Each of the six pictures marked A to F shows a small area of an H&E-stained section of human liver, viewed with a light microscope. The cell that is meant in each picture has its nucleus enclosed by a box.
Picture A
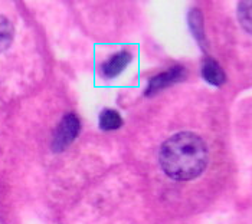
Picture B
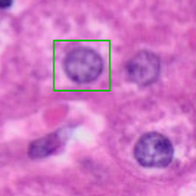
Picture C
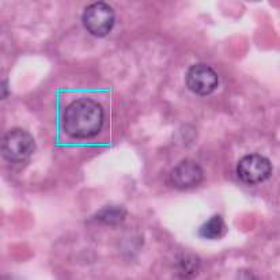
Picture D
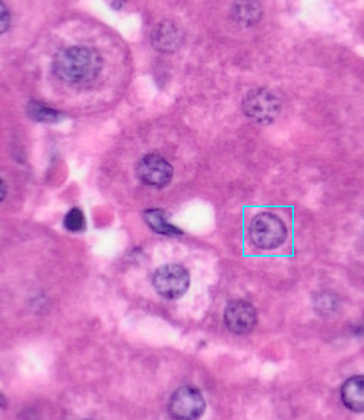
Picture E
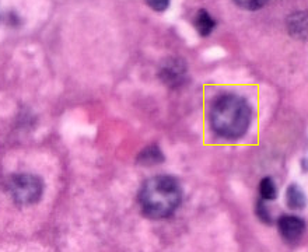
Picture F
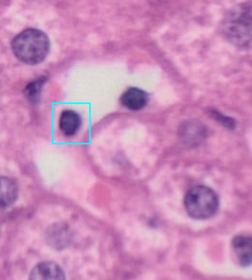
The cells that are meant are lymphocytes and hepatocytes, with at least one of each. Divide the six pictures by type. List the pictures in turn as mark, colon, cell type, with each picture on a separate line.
A: lymphocyte
B: hepatocyte
C: hepatocyte
D: hepatocyte
E: hepatocyte
F: lymphocyte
